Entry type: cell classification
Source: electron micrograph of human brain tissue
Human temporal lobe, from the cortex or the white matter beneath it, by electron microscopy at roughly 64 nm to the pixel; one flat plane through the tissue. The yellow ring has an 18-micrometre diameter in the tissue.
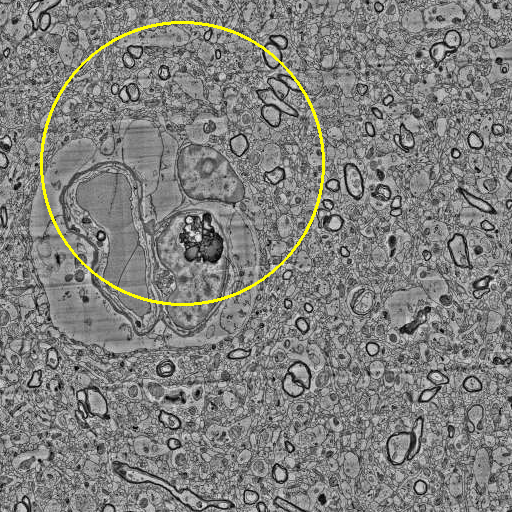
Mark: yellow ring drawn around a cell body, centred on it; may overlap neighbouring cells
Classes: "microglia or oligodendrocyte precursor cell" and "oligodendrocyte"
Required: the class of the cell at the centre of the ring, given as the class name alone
microglia or oligodendrocyte precursor cell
